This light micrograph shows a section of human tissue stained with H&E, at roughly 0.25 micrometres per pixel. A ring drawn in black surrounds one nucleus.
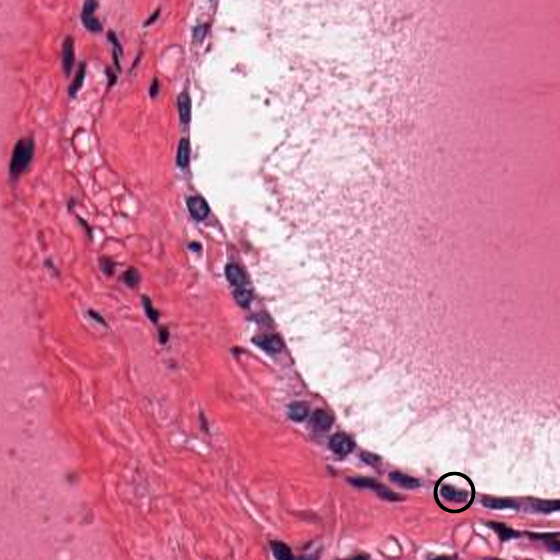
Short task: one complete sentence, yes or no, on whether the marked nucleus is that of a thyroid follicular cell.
Yes, the marked nucleus forms part of a thyroid follicular cell.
